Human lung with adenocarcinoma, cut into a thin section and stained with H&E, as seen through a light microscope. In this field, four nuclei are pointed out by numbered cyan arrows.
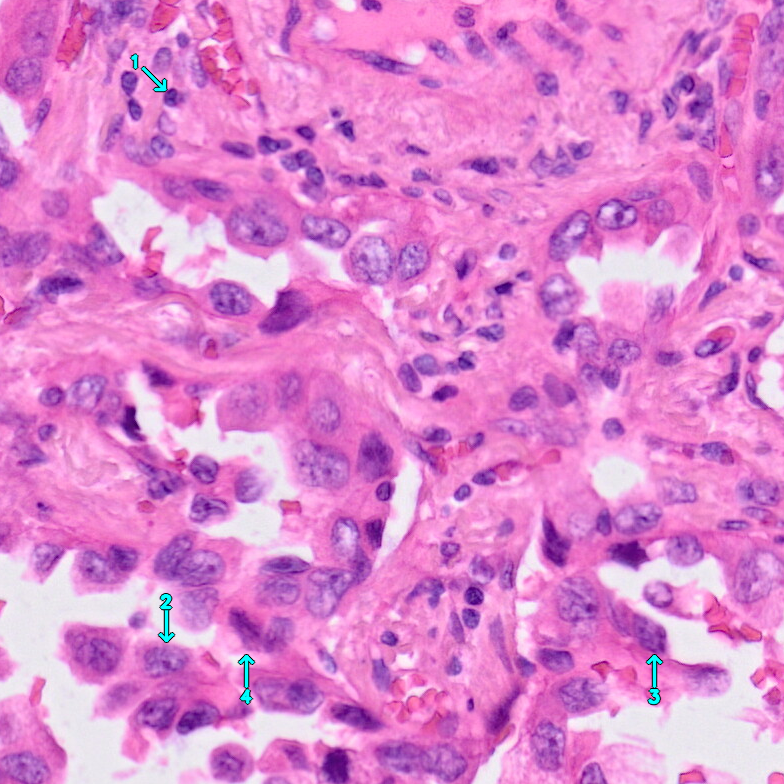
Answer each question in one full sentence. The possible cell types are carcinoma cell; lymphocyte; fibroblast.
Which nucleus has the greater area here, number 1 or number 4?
Of the two, number 4 is bigger and takes up about 4 times the area of number 1.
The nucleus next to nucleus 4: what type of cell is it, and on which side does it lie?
Just to the right of nucleus 4 lies the nearest nucleus, which belongs to a carcinoma cell.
